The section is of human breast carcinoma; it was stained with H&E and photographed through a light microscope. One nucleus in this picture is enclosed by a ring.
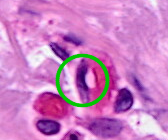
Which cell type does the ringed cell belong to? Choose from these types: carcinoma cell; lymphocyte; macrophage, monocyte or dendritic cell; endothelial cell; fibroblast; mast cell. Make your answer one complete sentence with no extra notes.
In the stained section, the ringed cell is an endothelial cell.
